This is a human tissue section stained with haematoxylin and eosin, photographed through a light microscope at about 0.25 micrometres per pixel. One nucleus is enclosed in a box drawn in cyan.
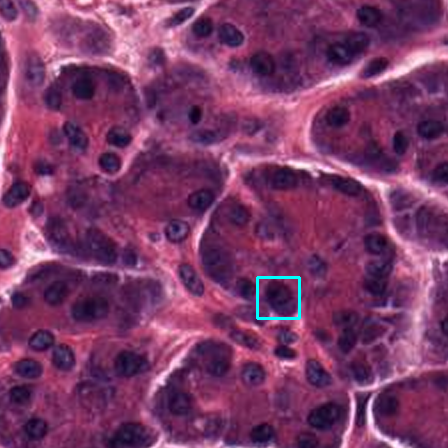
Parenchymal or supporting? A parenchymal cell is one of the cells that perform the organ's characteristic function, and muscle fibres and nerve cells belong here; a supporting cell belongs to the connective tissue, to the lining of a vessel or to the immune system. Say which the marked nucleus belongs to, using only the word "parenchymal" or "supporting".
parenchymal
